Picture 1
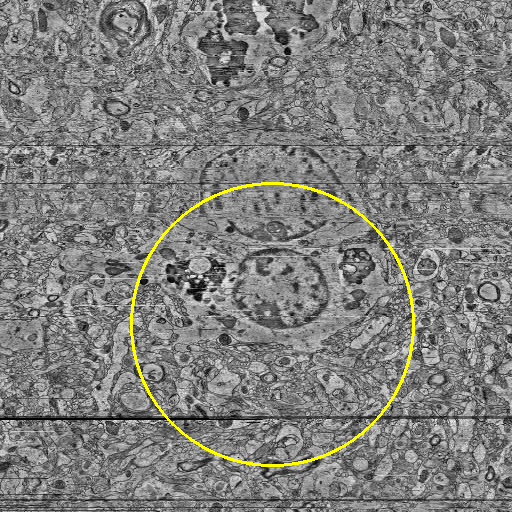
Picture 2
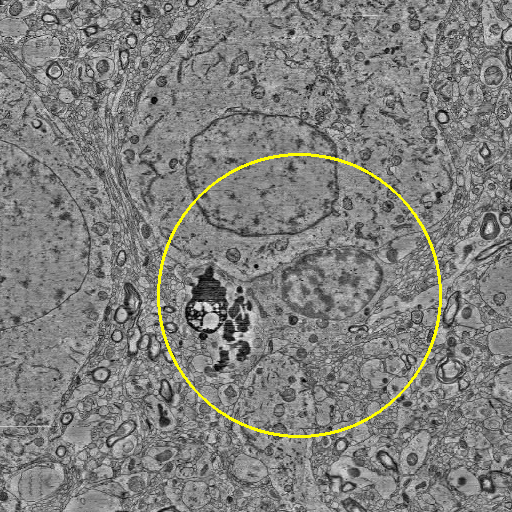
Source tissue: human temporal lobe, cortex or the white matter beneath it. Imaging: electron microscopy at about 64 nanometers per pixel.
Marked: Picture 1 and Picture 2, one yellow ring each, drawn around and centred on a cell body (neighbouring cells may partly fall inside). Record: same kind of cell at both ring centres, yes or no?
no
